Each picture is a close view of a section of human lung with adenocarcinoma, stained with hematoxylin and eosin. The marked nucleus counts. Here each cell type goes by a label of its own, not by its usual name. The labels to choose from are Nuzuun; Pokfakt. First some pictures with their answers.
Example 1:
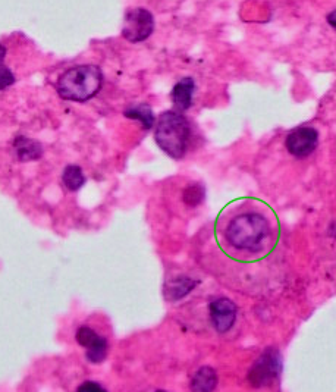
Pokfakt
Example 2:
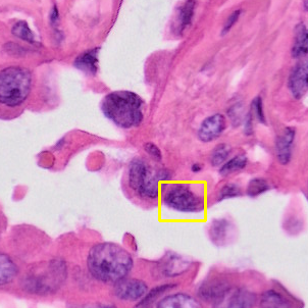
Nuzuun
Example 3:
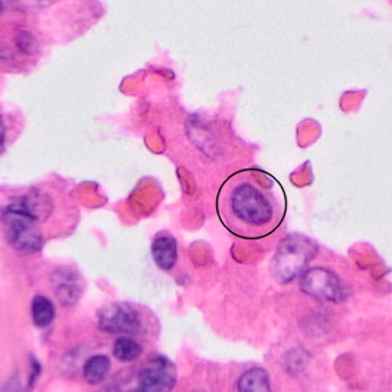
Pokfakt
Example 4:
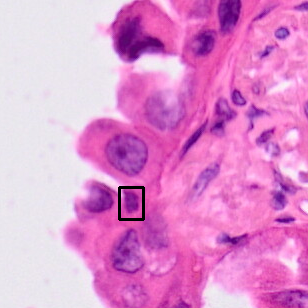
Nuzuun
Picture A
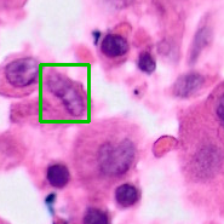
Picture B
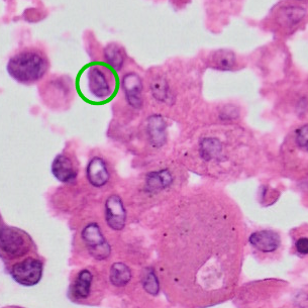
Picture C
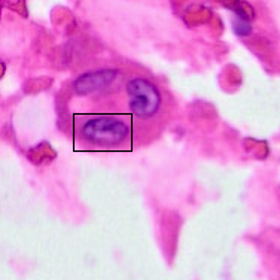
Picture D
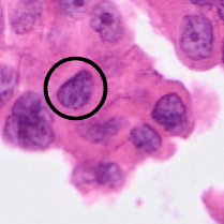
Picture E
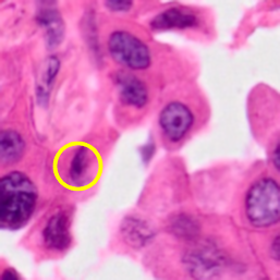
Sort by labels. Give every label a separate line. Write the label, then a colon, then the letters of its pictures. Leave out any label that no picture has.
Nuzuun: D, E
Pokfakt: A, B, C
